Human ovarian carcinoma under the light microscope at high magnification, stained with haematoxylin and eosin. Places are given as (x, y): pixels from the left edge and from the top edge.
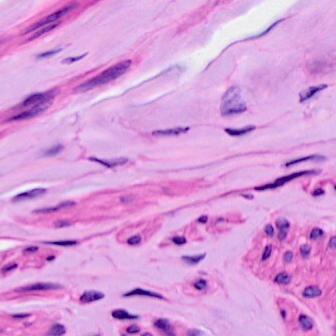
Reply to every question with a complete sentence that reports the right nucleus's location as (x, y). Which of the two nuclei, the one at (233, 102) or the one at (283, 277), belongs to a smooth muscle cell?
The nucleus at position (283, 277) belongs to a smooth muscle cell.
